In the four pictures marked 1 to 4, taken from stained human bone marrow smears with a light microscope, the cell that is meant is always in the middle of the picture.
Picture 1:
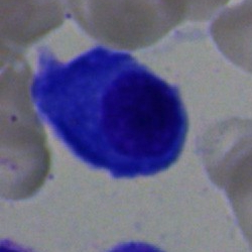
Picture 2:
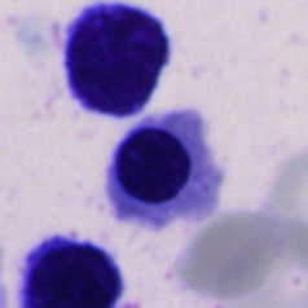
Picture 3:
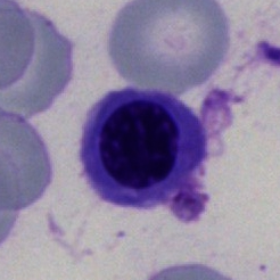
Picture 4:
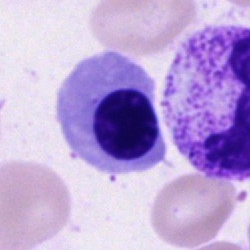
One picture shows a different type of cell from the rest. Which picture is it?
1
